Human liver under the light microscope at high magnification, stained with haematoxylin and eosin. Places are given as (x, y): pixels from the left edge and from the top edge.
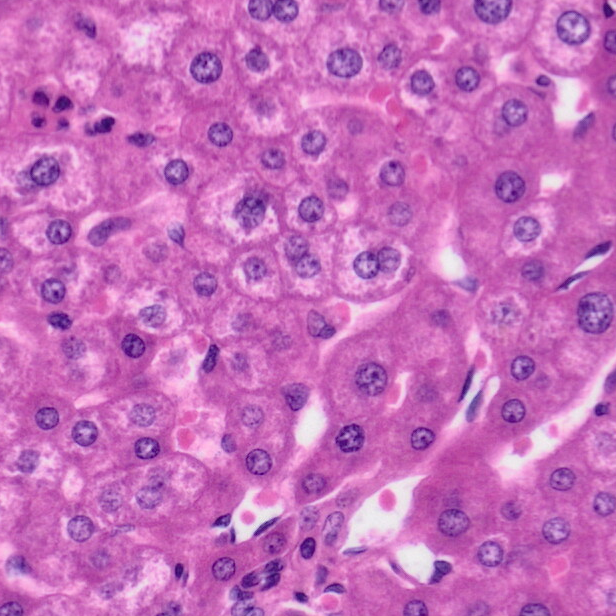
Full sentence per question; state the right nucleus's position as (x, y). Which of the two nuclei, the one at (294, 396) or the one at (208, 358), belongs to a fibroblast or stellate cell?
Identified as belonging to a fibroblast or stellate cell is the nucleus at (208, 358).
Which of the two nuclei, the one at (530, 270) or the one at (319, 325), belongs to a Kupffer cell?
At (319, 325) lies the nucleus that belongs to a Kupffer cell.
